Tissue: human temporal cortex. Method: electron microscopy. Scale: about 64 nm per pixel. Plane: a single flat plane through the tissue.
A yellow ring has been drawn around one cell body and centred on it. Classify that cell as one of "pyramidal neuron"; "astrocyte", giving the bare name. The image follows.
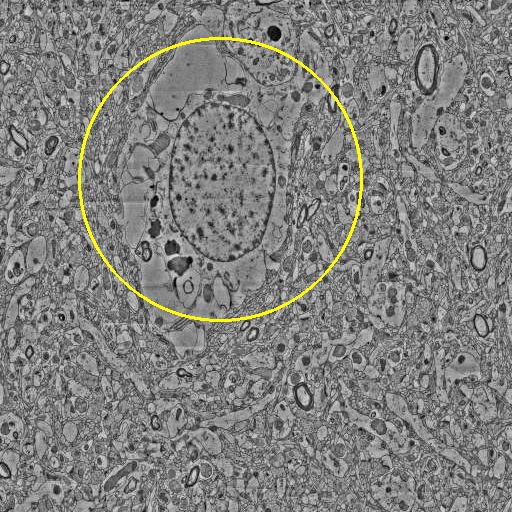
astrocyte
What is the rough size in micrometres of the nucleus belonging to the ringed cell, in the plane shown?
The nucleus comes to roughly 10 by 7 micrometres in this plane.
